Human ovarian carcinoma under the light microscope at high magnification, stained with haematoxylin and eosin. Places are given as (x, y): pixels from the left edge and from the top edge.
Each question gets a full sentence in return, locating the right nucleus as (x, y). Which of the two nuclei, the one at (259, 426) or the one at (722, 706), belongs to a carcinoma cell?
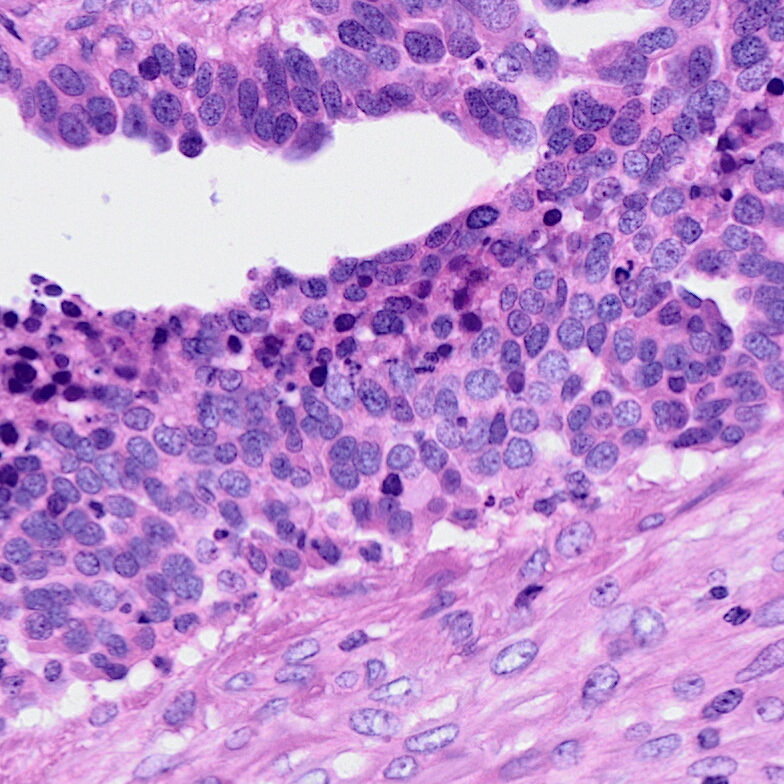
The nucleus at (259, 426) is the one that belongs to a carcinoma cell.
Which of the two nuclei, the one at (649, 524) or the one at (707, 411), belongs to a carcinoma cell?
The nucleus positioned at (707, 411) is the one that belongs to a carcinoma cell.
